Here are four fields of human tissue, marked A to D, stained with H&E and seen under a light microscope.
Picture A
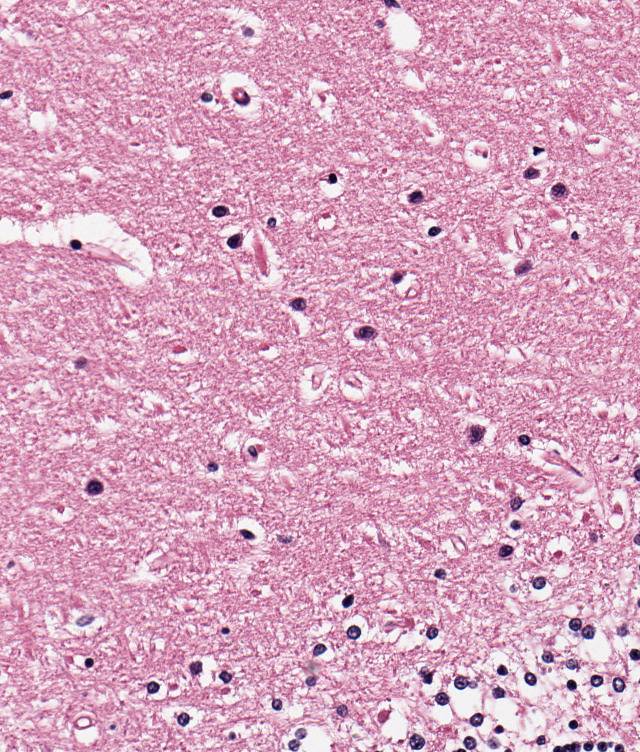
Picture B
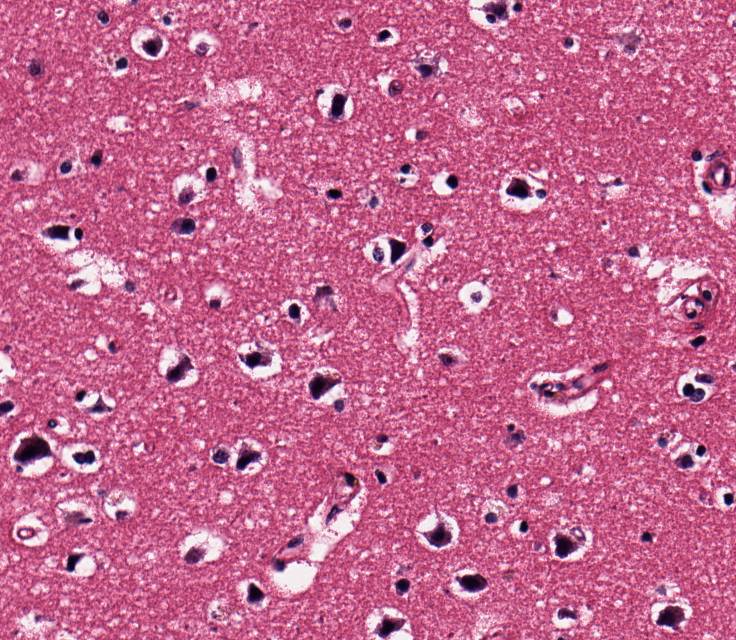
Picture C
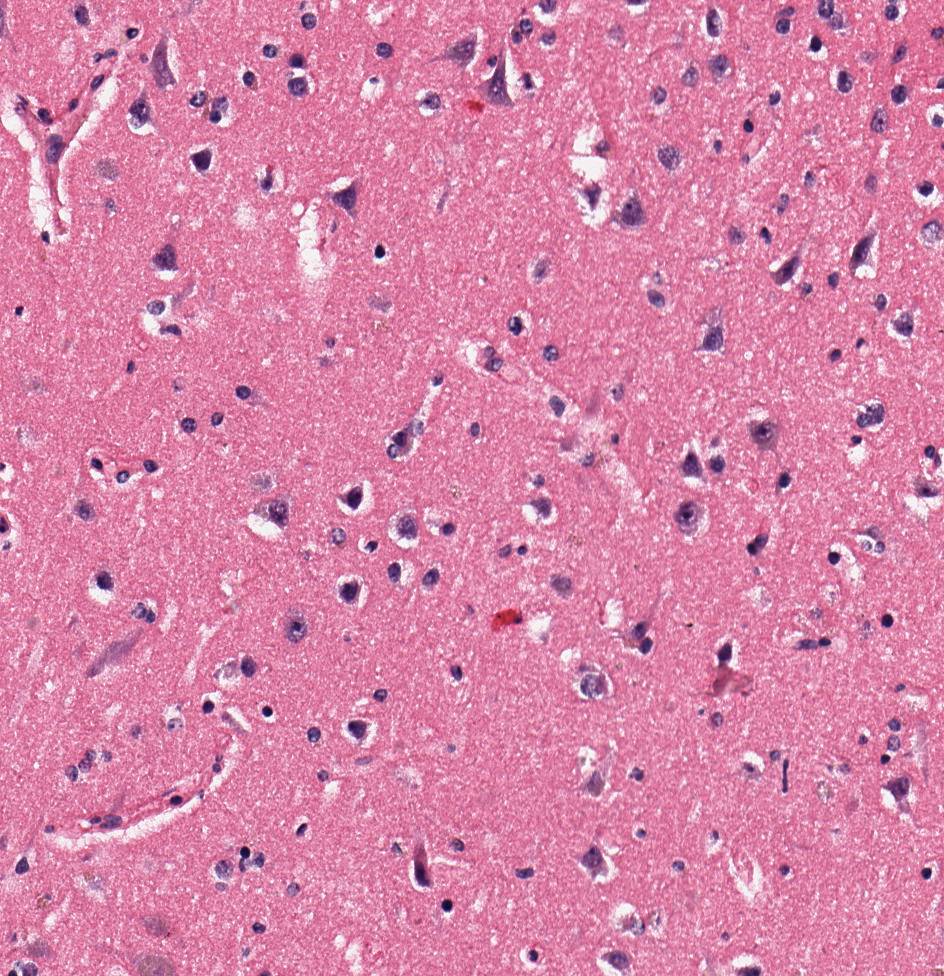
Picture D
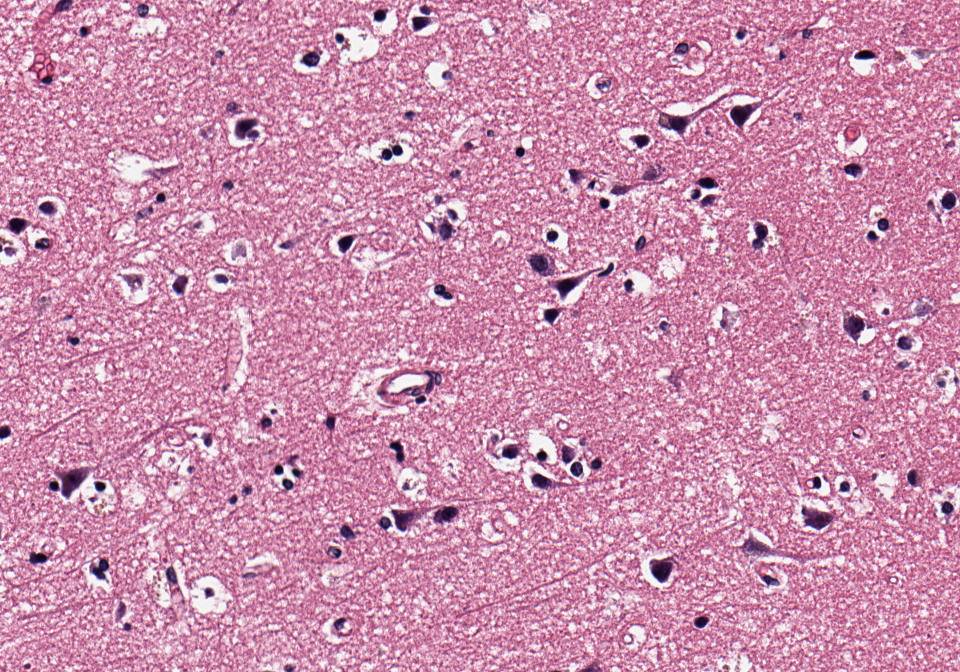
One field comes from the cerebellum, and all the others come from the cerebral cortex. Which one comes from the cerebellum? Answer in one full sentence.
It is picture A that comes from the cerebellum.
